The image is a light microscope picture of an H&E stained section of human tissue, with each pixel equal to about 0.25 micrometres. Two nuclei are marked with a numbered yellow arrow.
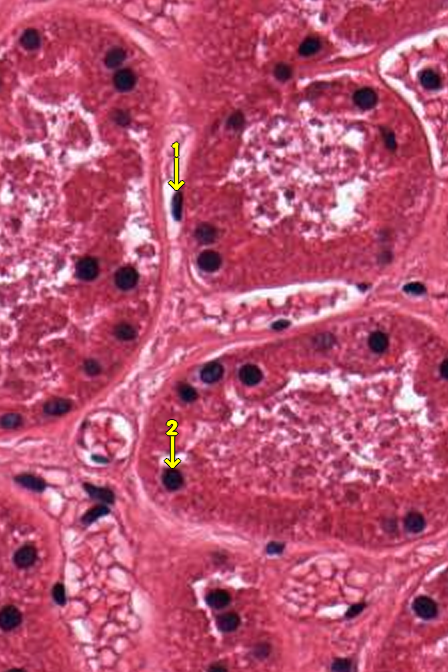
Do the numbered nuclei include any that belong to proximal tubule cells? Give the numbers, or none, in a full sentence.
Solely nucleus 2 belongs to a proximal tubule cell.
